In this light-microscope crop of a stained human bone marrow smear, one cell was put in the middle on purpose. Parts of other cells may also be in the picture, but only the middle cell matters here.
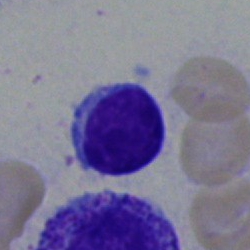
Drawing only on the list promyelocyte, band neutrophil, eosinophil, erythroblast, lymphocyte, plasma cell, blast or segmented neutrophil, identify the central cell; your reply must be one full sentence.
The cell at the middle of the crop is recognized as a lymphocyte.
